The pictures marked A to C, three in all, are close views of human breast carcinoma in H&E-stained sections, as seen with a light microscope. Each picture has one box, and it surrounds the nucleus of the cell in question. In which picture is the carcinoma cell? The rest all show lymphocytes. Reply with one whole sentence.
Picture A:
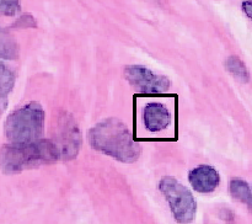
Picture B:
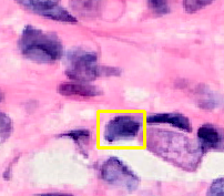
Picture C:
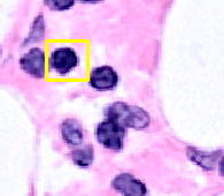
The carcinoma cell is the one in picture B.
